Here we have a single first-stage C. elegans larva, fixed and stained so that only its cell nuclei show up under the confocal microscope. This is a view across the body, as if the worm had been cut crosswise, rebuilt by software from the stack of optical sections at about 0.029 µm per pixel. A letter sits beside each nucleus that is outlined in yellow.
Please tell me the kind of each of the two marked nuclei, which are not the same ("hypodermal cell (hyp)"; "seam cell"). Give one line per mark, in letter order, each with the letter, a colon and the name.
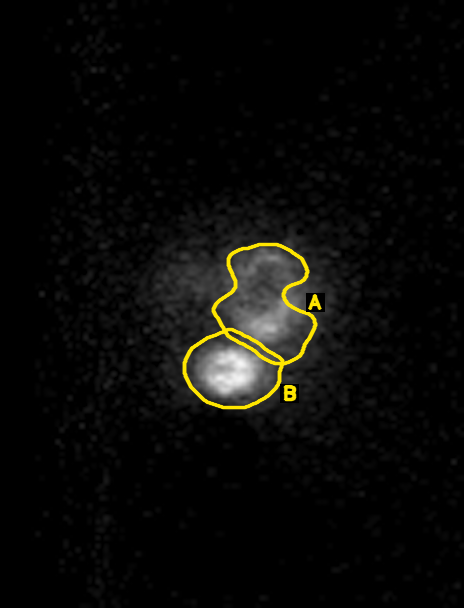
A: seam cell
B: hypodermal cell (hyp)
